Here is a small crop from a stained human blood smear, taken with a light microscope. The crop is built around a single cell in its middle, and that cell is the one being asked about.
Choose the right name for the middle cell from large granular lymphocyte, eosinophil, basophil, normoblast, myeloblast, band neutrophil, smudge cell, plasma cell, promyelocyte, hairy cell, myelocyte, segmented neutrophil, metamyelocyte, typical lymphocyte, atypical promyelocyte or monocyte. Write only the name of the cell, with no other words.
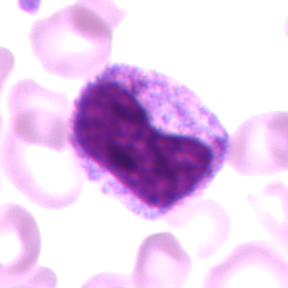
band neutrophil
